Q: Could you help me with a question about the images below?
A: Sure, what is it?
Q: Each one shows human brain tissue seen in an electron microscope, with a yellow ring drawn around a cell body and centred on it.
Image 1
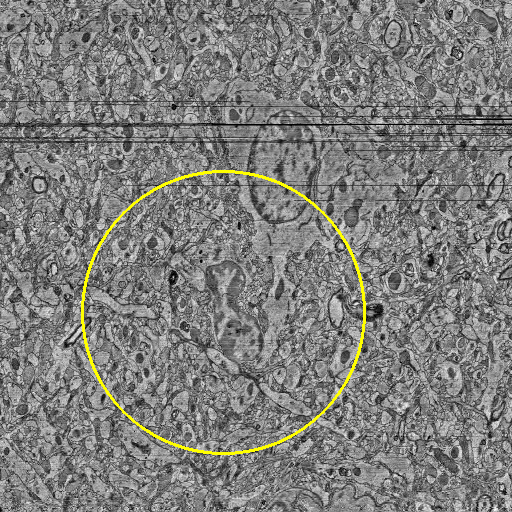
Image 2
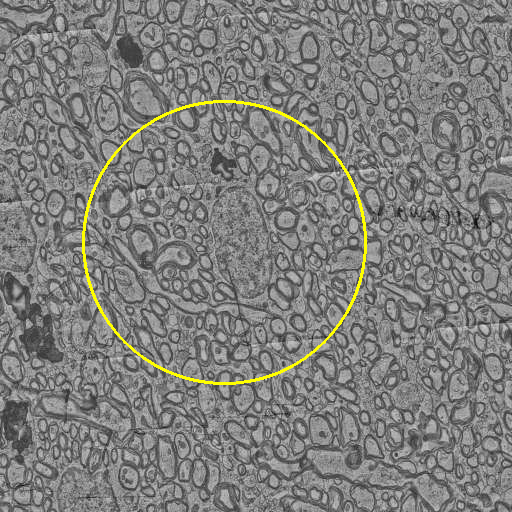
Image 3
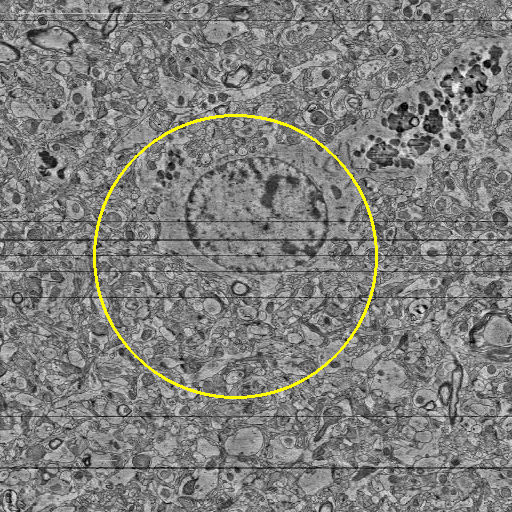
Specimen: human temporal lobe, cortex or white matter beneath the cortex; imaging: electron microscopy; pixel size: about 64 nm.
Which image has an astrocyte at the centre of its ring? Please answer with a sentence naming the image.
Image 3 has it at the centre of its ring.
